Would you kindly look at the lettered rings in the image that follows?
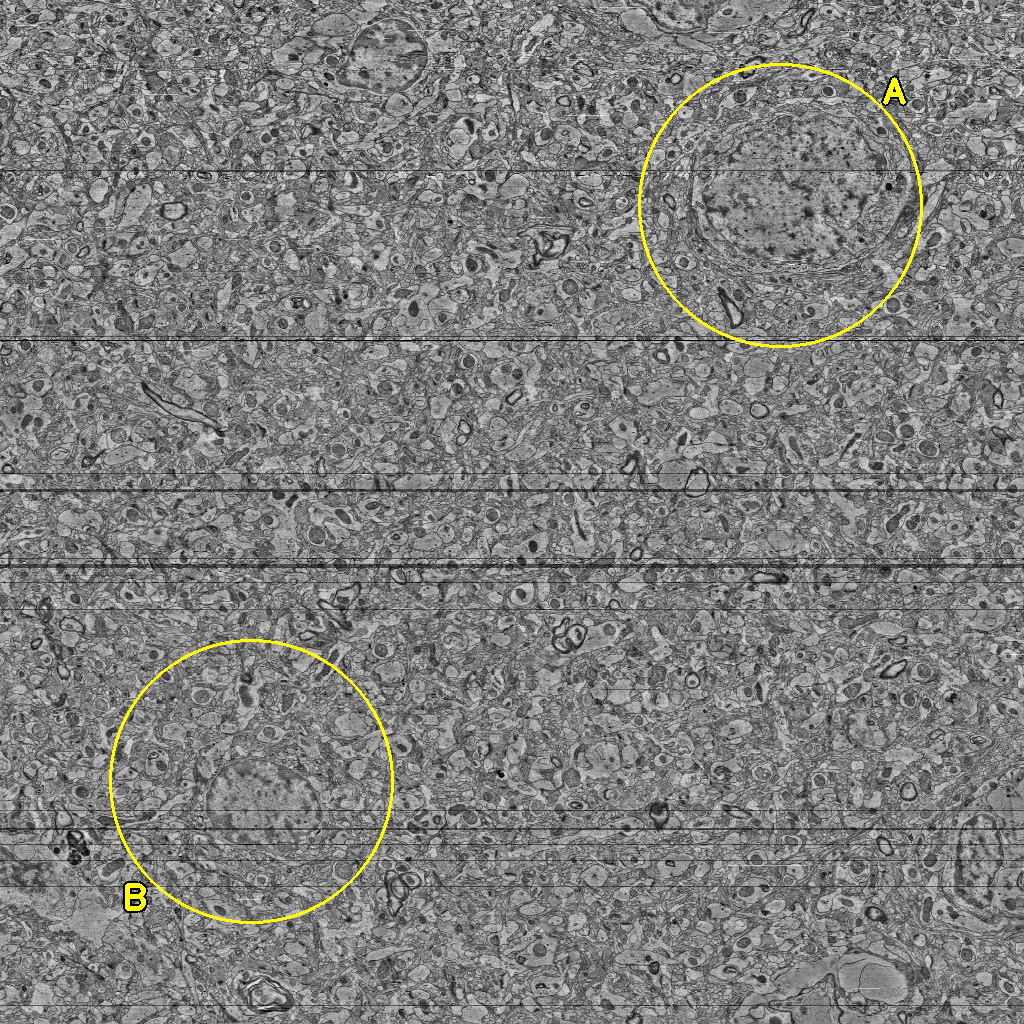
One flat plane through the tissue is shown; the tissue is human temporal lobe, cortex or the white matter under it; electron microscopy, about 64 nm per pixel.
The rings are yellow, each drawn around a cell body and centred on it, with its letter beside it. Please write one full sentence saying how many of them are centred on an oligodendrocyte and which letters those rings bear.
One ring, and only one, is centred on an oligodendrocyte, and it carries the letter B.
